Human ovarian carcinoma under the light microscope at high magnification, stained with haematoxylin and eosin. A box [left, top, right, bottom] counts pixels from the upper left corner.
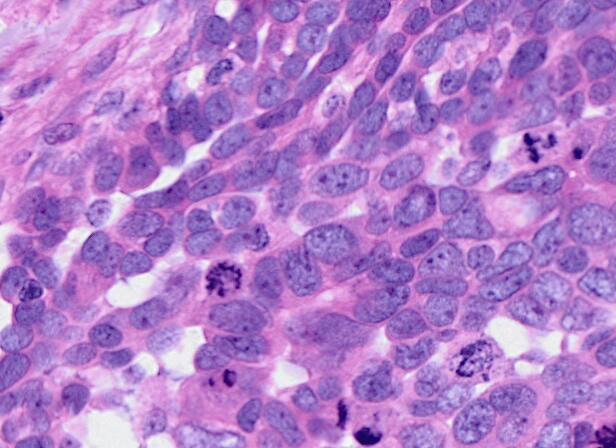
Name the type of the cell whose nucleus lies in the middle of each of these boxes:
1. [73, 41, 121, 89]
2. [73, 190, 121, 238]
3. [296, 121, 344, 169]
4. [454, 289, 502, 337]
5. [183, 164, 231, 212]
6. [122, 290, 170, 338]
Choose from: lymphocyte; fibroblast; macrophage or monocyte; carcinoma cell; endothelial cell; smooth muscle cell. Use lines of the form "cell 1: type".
cell 1: fibroblast
cell 2: macrophage or monocyte
cell 3: carcinoma cell
cell 4: carcinoma cell
cell 5: carcinoma cell
cell 6: carcinoma cell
